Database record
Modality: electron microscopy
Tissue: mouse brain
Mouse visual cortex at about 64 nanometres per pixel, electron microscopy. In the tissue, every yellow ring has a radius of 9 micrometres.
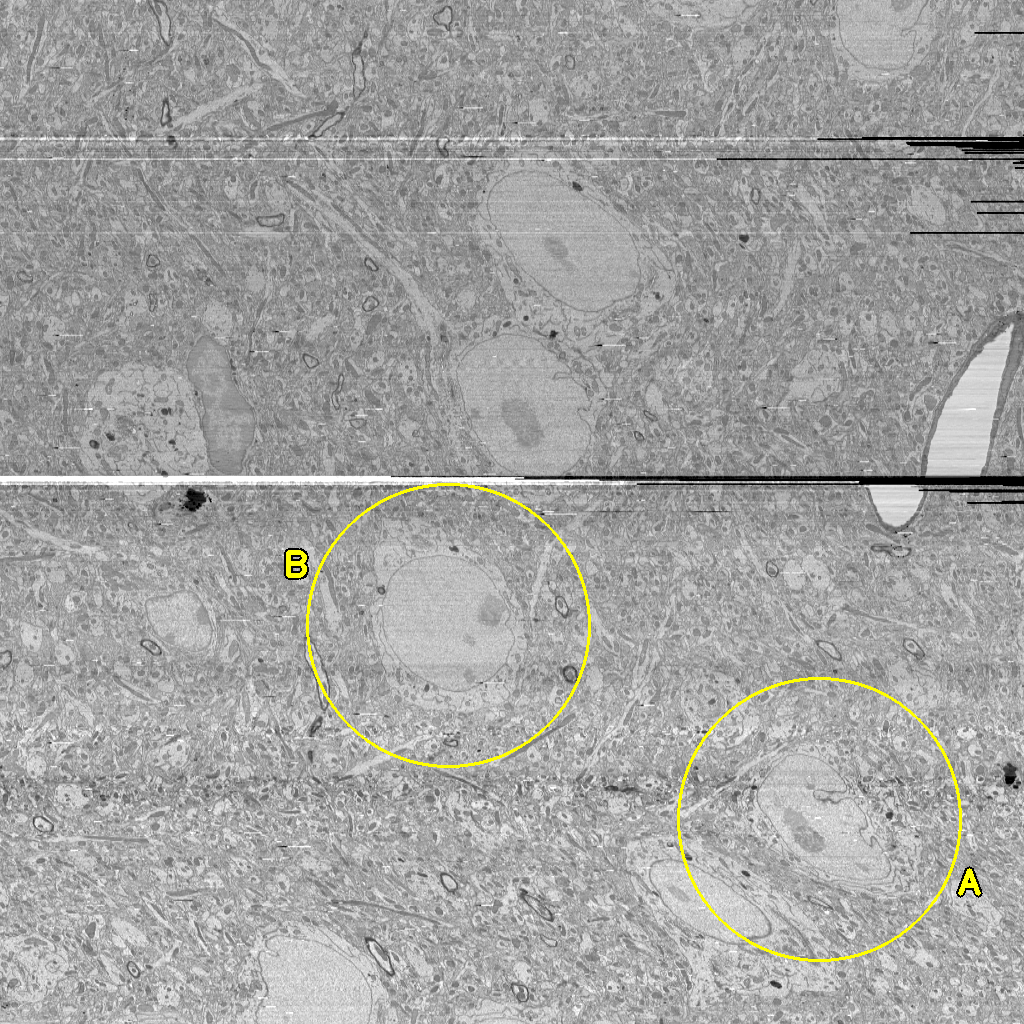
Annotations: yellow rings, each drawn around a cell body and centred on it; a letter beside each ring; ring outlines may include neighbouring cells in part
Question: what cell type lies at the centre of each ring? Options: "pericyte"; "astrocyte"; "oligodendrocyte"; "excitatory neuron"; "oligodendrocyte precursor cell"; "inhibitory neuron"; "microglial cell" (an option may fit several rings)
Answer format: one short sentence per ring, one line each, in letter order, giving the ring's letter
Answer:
Ring A corresponds to an inhibitory neuron.
Ring B corresponds to an excitatory neuron.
